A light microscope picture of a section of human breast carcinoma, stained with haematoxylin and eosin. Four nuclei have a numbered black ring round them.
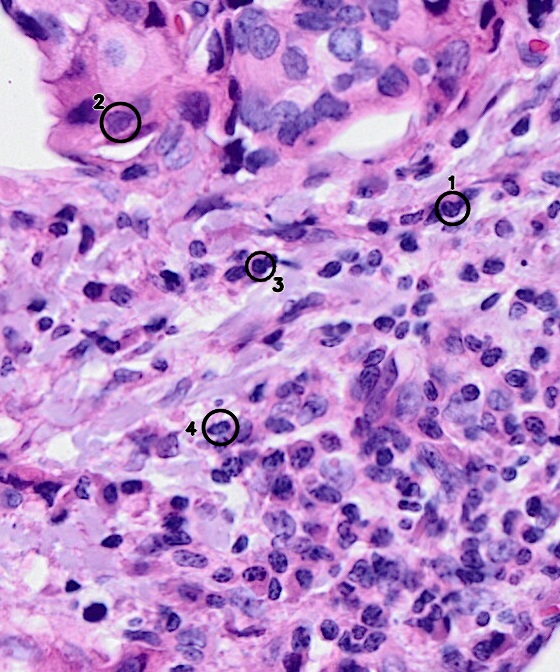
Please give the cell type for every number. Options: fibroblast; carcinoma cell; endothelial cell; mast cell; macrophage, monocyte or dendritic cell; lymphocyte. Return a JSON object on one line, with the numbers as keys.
{"1": "lymphocyte", "2": "carcinoma cell", "3": "lymphocyte", "4": "lymphocyte"}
